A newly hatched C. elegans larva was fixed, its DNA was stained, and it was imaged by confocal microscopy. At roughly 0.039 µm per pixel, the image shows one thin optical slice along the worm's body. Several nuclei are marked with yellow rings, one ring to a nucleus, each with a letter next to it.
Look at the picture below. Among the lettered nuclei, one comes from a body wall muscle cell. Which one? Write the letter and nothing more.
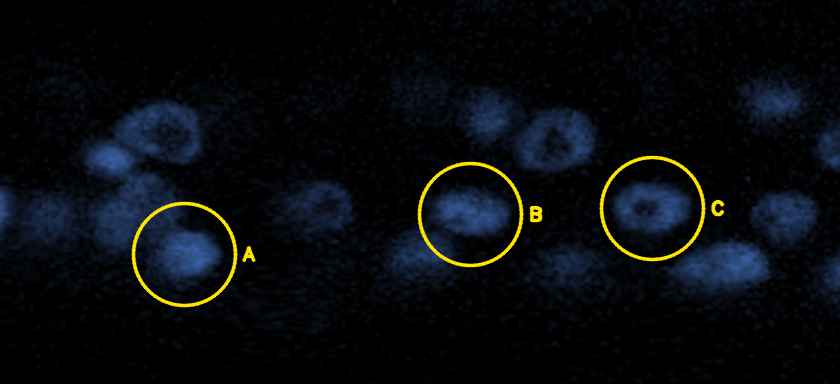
A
